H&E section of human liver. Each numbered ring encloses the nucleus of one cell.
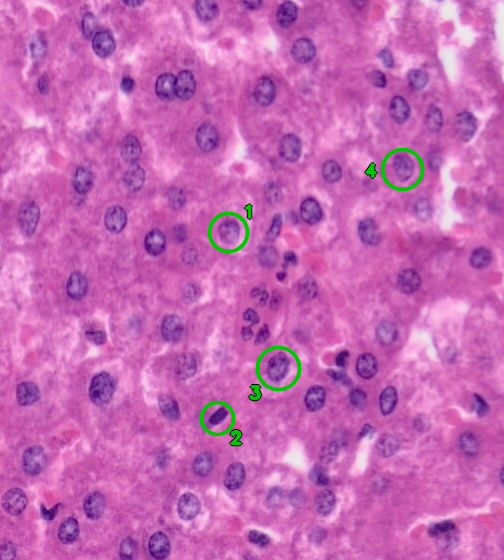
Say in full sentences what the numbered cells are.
Cells 1, 3 and 4 are hepatocytes. Cell 2 is a fibroblast or stellate cell.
